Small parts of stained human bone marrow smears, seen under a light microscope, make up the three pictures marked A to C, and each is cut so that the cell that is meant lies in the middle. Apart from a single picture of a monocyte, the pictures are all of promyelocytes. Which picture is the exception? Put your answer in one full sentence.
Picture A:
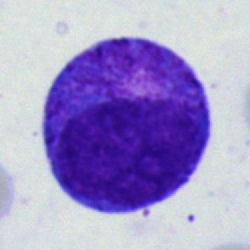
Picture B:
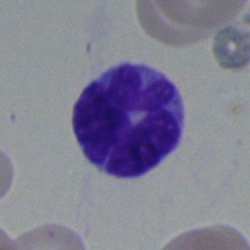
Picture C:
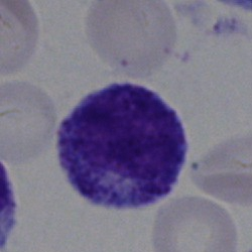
The picture with the monocyte is B.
